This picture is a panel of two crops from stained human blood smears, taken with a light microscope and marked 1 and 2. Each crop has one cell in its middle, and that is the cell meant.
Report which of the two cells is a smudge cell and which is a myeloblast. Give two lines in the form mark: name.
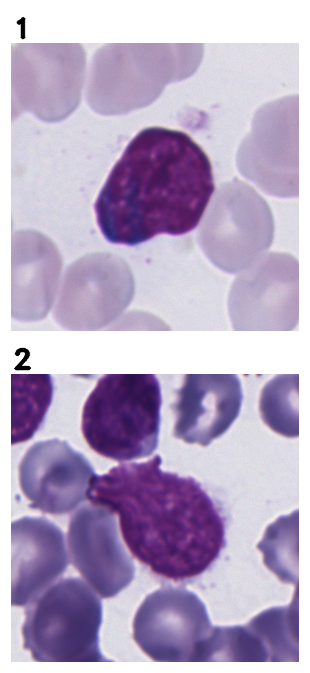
1: smudge cell
2: myeloblast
